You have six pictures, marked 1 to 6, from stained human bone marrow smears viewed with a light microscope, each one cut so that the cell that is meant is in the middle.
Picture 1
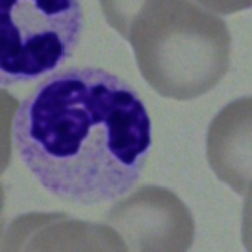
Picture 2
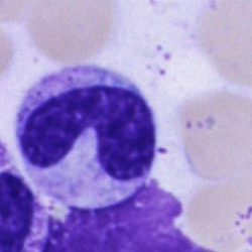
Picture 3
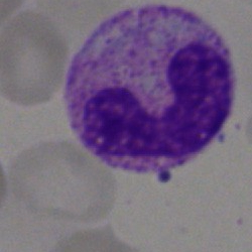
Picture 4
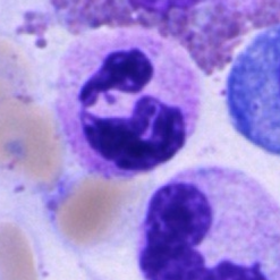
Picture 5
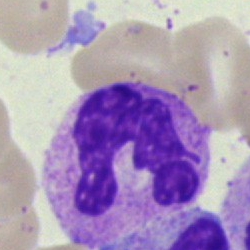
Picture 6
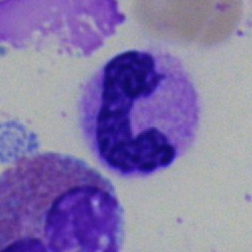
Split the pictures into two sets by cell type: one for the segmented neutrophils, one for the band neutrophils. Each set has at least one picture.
1: segmented neutrophil
2: band neutrophil
3: band neutrophil
4: segmented neutrophil
5: segmented neutrophil
6: segmented neutrophil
